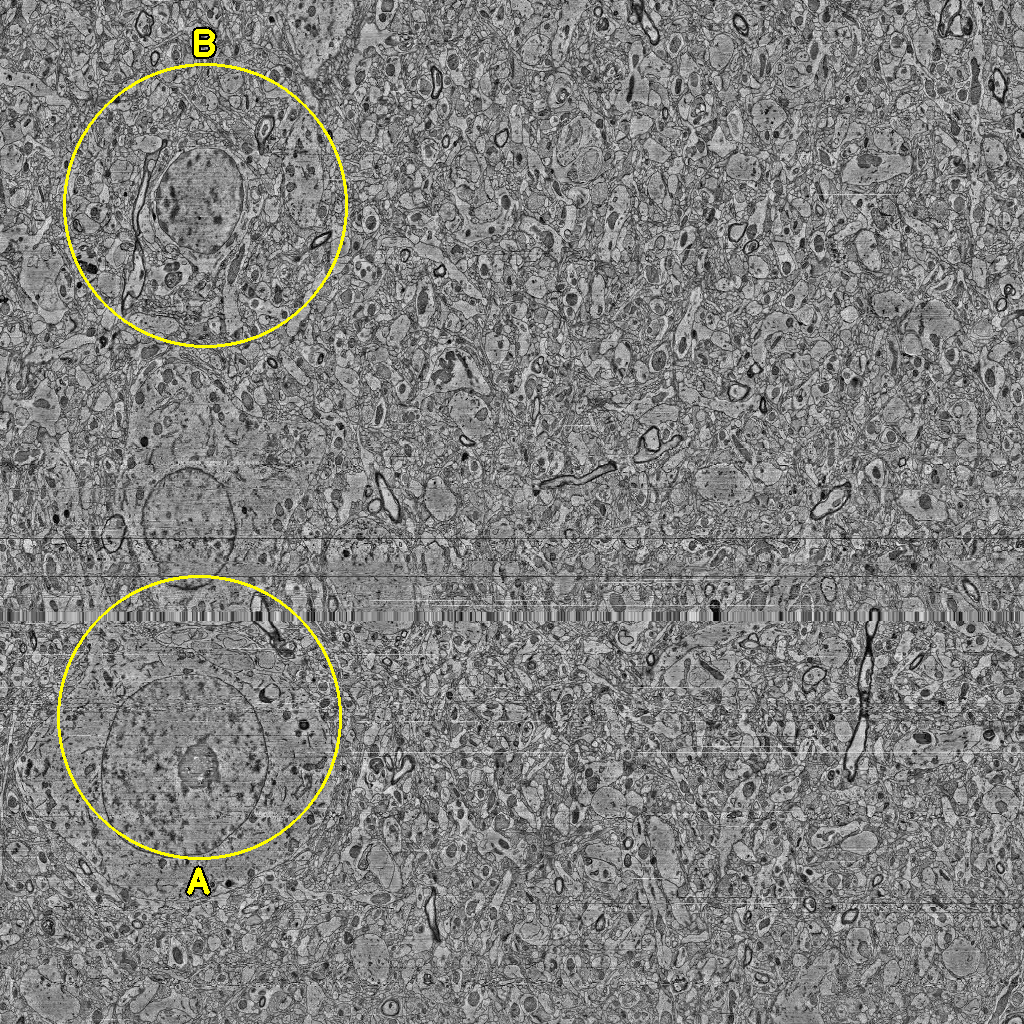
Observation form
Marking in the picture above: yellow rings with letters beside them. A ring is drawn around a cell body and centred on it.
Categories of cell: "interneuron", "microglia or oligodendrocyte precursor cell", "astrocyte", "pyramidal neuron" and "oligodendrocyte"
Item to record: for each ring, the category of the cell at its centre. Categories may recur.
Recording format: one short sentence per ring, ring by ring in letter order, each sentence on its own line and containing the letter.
Ring A is placed on a pyramidal neuron.
Ring B is placed on a microglial cell or oligodendrocyte precursor cell.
